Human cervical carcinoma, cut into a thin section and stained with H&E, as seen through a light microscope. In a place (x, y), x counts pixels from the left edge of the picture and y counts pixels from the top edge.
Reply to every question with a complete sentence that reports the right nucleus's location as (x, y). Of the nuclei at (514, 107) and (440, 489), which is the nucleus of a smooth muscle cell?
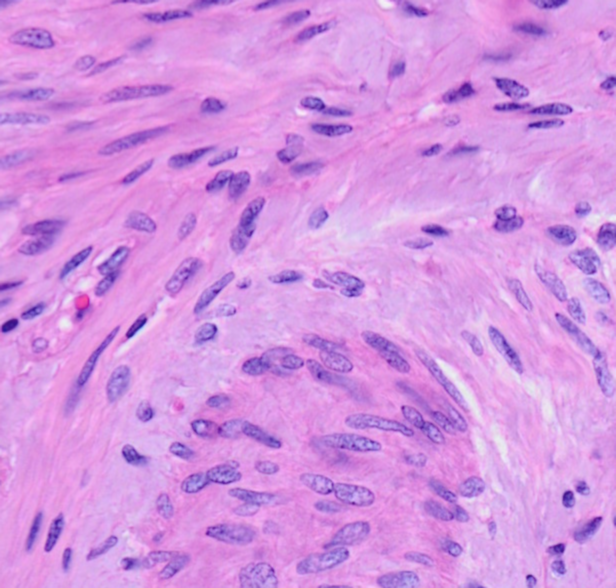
The nucleus found at (440, 489) belongs to a smooth muscle cell.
